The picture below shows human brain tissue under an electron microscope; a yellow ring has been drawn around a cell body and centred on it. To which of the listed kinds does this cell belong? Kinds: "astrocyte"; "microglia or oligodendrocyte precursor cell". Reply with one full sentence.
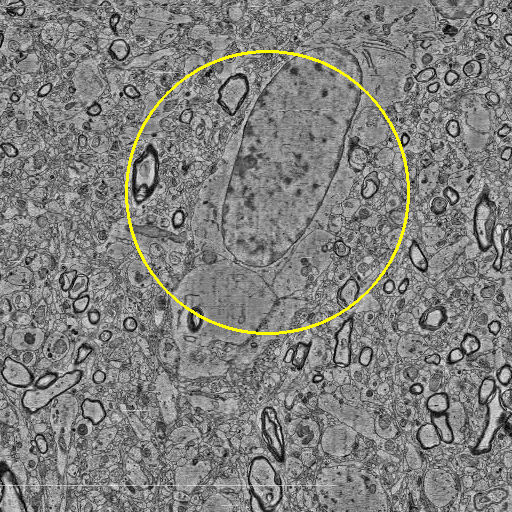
It is a microglial cell or oligodendrocyte precursor cell that the yellow ring in the picture is centred on.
